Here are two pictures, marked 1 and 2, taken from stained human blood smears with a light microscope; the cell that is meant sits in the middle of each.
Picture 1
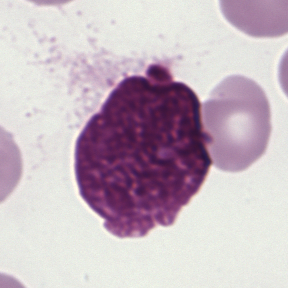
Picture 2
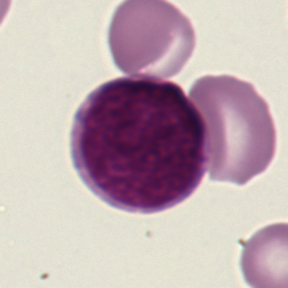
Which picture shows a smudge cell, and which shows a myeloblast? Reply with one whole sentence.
The cell in picture 1 is a smudge cell, and the one in picture 2 is a myeloblast.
